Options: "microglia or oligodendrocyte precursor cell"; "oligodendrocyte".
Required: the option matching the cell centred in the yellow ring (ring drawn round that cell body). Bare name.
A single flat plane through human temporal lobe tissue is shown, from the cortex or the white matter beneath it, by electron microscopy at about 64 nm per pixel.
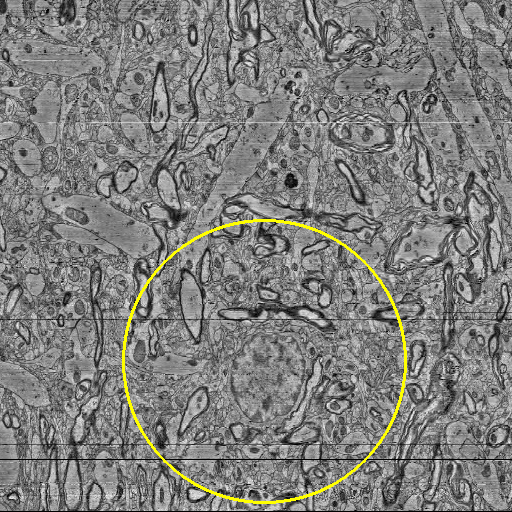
oligodendrocyte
